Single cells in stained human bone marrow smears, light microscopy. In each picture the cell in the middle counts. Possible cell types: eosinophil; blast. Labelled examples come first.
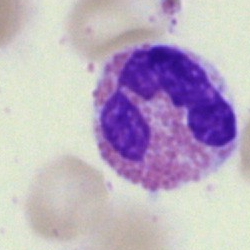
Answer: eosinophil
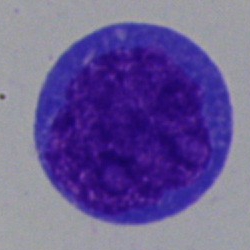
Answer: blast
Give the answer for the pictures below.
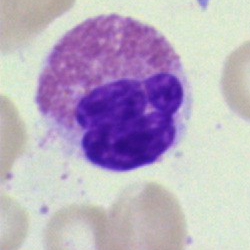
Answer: eosinophil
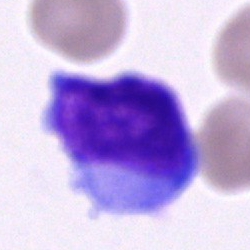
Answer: blast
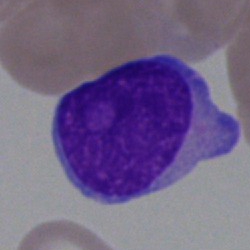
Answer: blast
